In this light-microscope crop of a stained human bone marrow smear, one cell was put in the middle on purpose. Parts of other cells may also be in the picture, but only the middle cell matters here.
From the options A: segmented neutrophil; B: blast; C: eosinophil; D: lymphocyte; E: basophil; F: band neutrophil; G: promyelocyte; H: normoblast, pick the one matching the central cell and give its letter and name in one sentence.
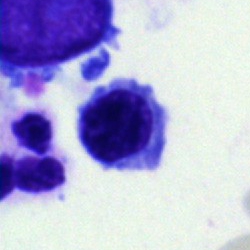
The central cell in this crop is a normoblast, corresponding to option H, the correct option.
